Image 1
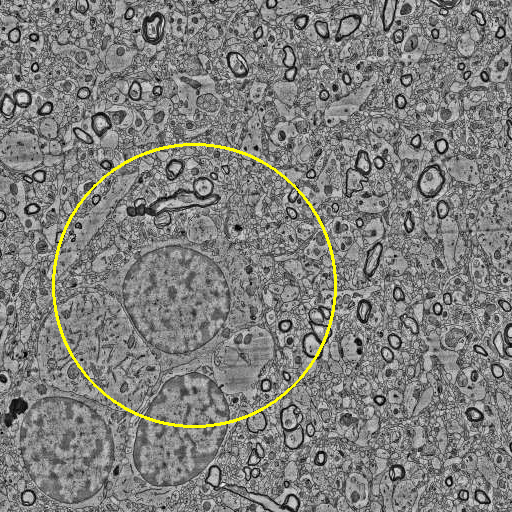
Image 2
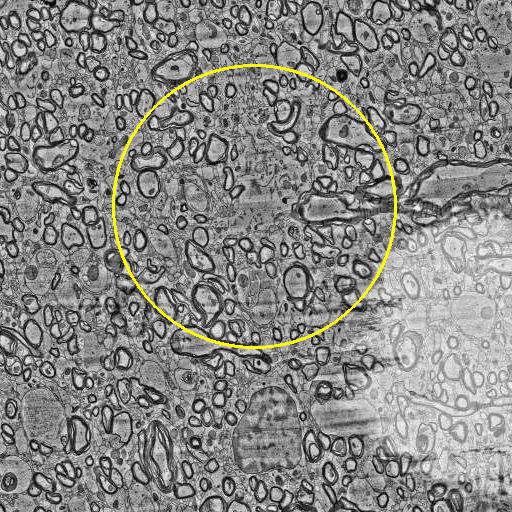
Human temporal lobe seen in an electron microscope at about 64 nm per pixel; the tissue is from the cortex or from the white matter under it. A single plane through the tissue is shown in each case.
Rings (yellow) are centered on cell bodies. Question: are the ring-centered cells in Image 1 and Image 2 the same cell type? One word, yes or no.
no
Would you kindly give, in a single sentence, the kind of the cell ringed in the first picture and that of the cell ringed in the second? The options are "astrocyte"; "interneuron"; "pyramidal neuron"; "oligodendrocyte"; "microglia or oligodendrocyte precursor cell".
The second cell is a microglial cell or oligodendrocyte precursor cell, and the first cell is an oligodendrocyte.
